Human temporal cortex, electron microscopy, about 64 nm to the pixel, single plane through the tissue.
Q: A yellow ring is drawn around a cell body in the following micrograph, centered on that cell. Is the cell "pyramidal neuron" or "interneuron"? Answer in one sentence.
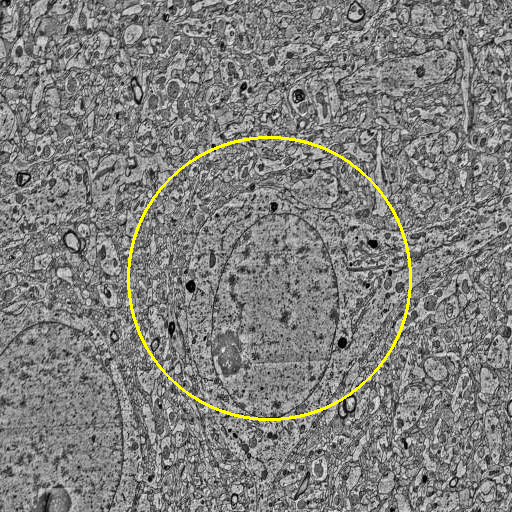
The cell in the center of the ring is a pyramidal neuron.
